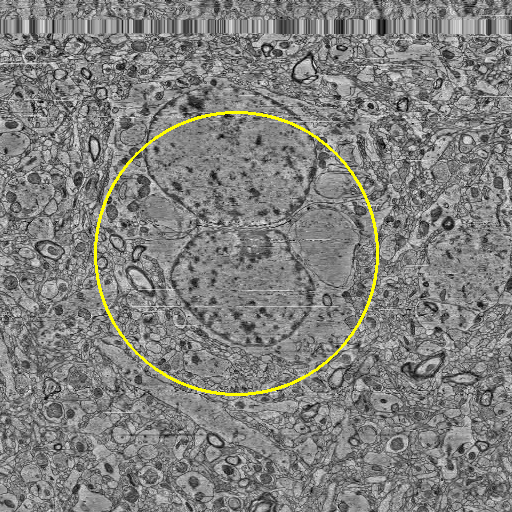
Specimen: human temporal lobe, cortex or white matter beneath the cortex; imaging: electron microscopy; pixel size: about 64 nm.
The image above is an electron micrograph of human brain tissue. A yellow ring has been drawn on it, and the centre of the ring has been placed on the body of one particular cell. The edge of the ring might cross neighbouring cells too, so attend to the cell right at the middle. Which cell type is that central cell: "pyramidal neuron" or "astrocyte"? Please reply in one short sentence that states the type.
The central cell in the ring is an astrocyte.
